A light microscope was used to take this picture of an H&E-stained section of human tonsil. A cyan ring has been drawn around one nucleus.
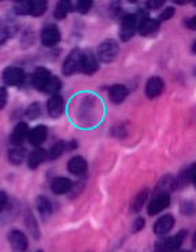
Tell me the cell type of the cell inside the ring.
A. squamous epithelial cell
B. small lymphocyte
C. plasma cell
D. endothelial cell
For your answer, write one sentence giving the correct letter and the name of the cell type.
Option D is the correct one: the cell inside the ring is an endothelial cell.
